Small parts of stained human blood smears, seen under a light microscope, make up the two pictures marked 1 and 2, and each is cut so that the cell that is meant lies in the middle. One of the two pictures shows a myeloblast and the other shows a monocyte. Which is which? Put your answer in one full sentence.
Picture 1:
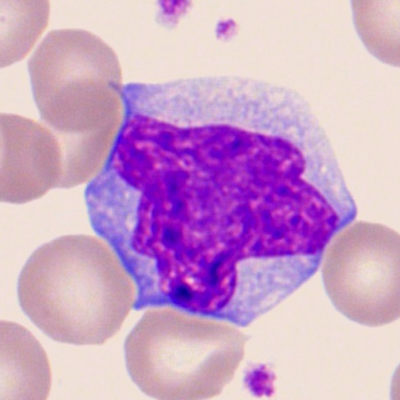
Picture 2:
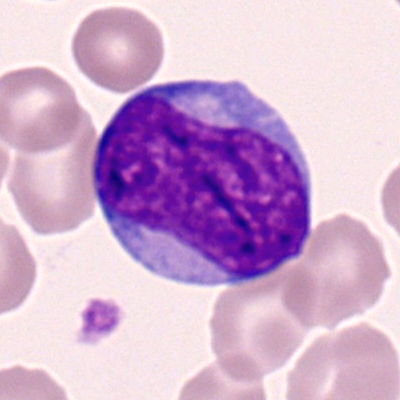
In picture 1 the cell is a monocyte; in picture 2, a myeloblast.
